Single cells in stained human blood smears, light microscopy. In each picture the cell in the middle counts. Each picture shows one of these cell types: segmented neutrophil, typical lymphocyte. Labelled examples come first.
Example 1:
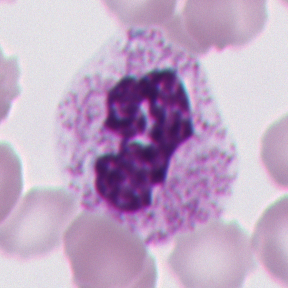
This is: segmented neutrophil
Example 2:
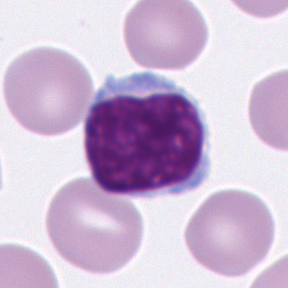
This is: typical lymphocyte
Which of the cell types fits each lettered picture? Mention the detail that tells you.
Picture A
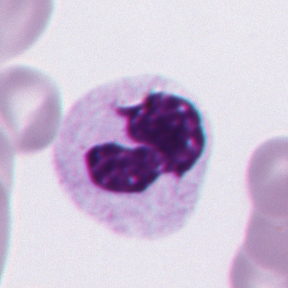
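segmented neutrophil: The nucleus is made of two dense masses joined by a narrower strip.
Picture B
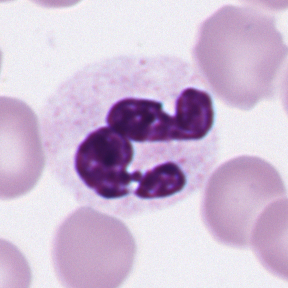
segmented neutrophil: The cytoplasm is abundant and pale pink.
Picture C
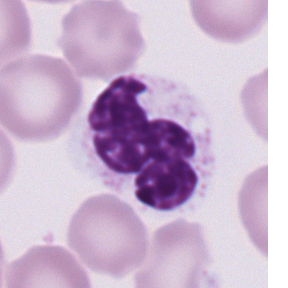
segmented neutrophil: The cytoplasm is pale and almost colourless.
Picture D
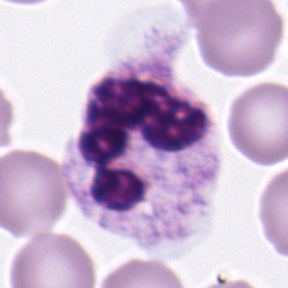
segmented neutrophil: The cytoplasm is abundant and pale pinkish-lilac.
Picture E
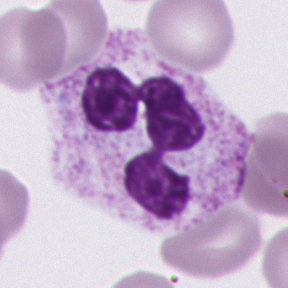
segmented neutrophil: The cytoplasm is plentiful and pale pinkish-lilac.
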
